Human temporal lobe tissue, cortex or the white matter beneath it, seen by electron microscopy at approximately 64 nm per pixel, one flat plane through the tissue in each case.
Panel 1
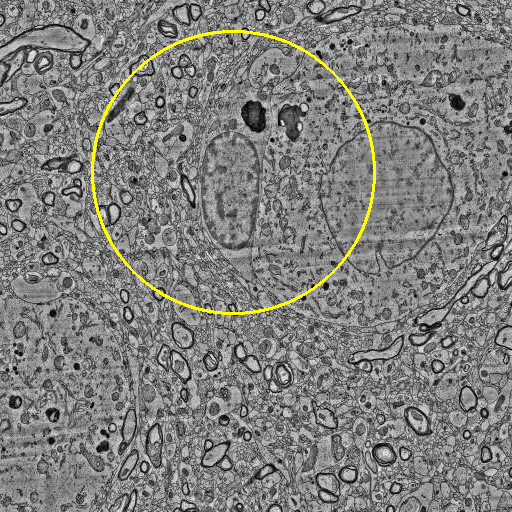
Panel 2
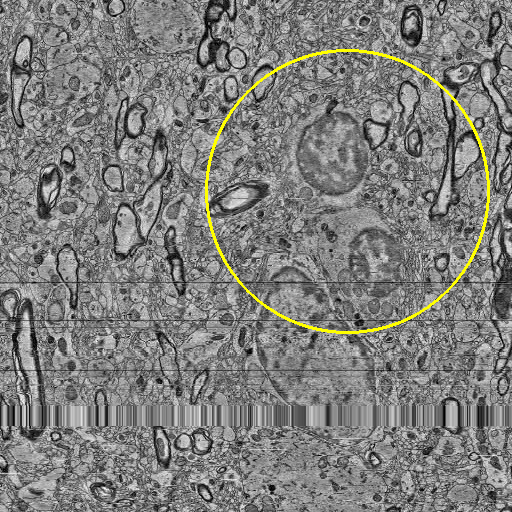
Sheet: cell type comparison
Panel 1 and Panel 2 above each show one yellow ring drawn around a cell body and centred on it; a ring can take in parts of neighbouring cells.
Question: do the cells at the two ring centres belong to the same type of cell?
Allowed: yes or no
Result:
yes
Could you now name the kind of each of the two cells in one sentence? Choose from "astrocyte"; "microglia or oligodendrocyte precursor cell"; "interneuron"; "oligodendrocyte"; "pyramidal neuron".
Each of the two rings surrounds an oligodendrocyte.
